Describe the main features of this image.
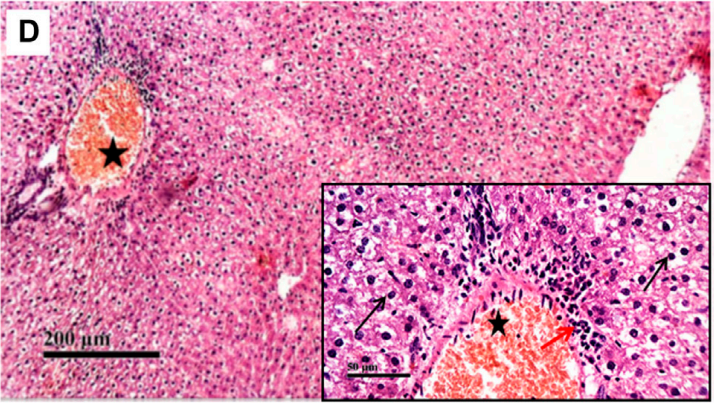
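This is liver parenchyma, in which most hepatocytes show vacuolar degenerative change. Their cytoplasm is pale, clear and finely vacuolated, spread diffusely over wide areas. A large hepatic blood vessel is dilated and congested, its lumen packed with red blood cells. Other vessels nearby are widened as well. Along the edge of the congested vessel, a focal collection of small, dark, round nuclei marks a perivascular infiltrate of inflammatory cells. The hepatocyte nuclei are round and central, but the cell plates are less orderly than in normal liver.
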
